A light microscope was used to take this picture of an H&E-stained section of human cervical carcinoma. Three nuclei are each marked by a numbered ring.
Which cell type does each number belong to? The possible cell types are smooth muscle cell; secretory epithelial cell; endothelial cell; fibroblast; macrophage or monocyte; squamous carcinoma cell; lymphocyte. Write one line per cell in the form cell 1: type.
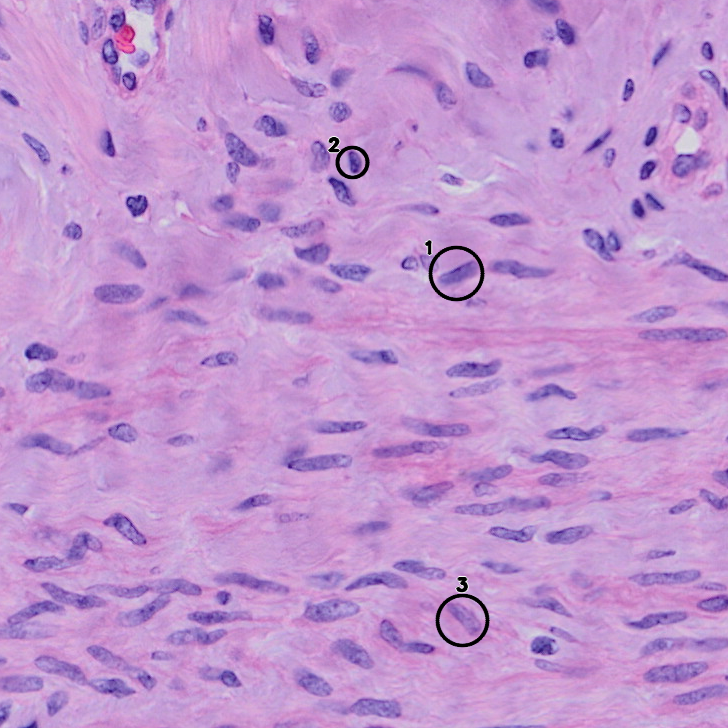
cell 1: fibroblast
cell 2: fibroblast
cell 3: smooth muscle cell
